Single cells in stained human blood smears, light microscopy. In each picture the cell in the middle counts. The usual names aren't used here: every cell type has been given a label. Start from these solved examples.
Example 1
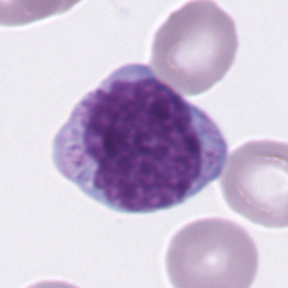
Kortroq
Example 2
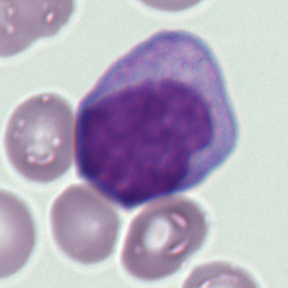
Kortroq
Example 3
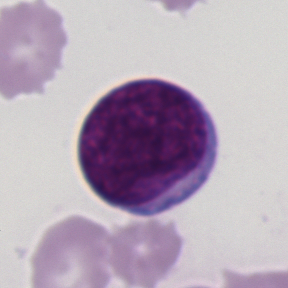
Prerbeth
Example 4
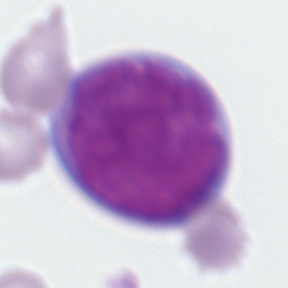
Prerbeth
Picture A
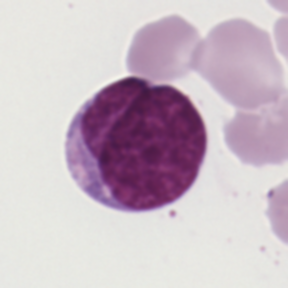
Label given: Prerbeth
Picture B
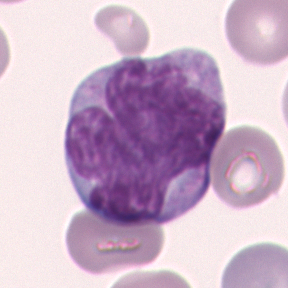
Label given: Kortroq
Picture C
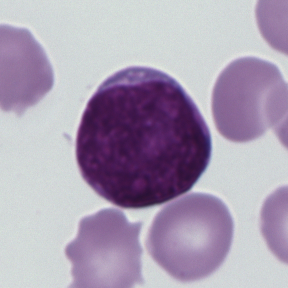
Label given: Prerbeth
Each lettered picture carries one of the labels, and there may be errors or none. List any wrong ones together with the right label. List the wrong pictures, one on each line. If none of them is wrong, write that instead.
No label is wrong.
